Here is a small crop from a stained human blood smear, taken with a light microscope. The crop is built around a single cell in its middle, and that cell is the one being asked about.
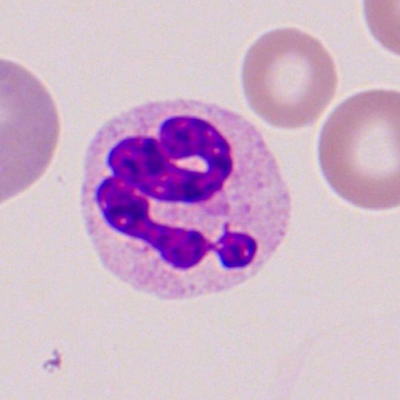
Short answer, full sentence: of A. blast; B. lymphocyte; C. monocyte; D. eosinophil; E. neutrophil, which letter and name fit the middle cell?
Option E gets it right: the cell in the middle is a neutrophil.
